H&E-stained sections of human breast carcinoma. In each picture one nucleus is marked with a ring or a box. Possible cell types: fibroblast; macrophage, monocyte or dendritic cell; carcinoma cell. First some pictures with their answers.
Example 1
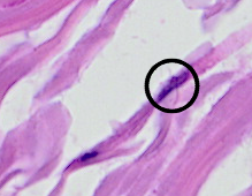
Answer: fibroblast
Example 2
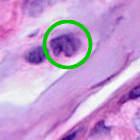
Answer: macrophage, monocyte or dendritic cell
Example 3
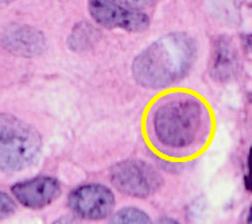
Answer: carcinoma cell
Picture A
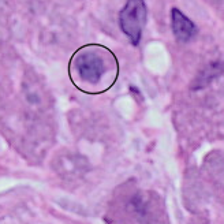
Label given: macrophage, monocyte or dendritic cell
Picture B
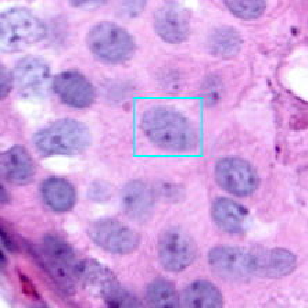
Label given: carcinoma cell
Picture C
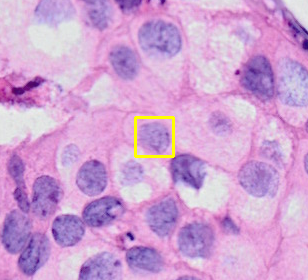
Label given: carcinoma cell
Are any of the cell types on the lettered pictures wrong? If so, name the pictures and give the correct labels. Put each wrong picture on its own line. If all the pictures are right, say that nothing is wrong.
None of the labels needs changing.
